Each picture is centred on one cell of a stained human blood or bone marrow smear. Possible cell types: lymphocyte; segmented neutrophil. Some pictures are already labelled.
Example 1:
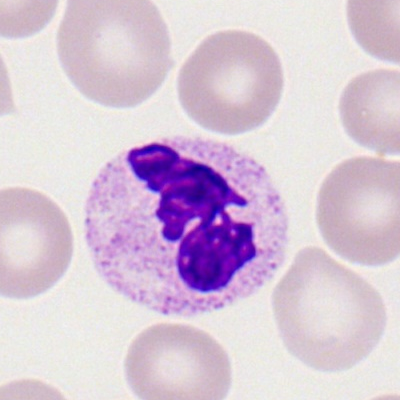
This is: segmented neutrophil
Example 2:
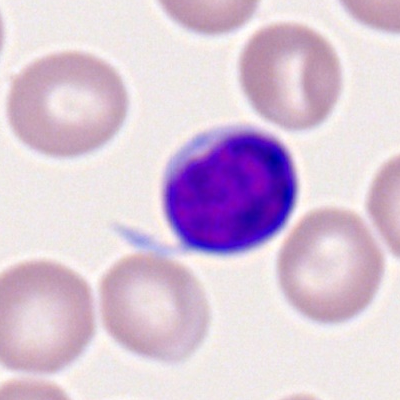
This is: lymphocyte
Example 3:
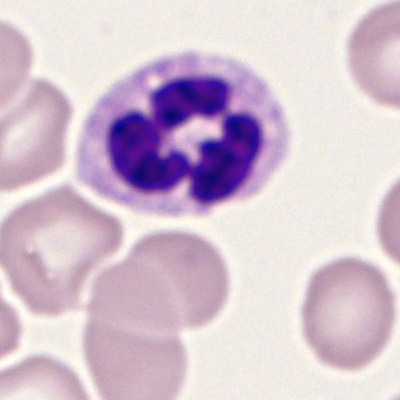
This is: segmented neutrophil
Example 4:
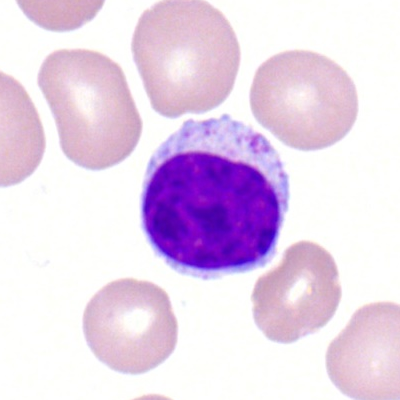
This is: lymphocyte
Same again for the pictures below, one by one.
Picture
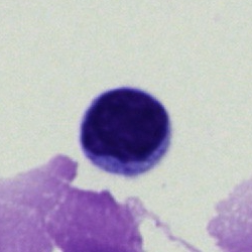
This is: lymphocyte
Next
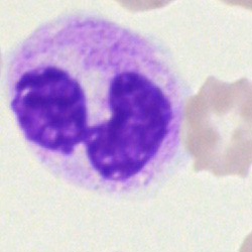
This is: segmented neutrophil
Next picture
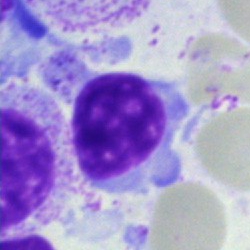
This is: lymphocyte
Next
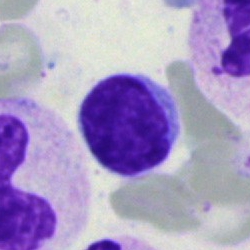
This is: lymphocyte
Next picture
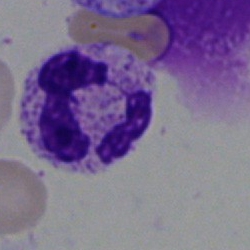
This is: segmented neutrophil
